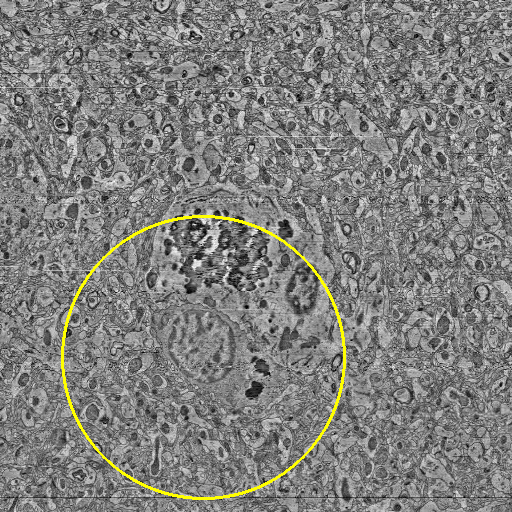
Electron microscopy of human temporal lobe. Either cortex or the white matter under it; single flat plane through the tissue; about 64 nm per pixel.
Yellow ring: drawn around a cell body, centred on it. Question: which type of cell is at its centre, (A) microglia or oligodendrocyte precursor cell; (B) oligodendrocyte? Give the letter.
B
